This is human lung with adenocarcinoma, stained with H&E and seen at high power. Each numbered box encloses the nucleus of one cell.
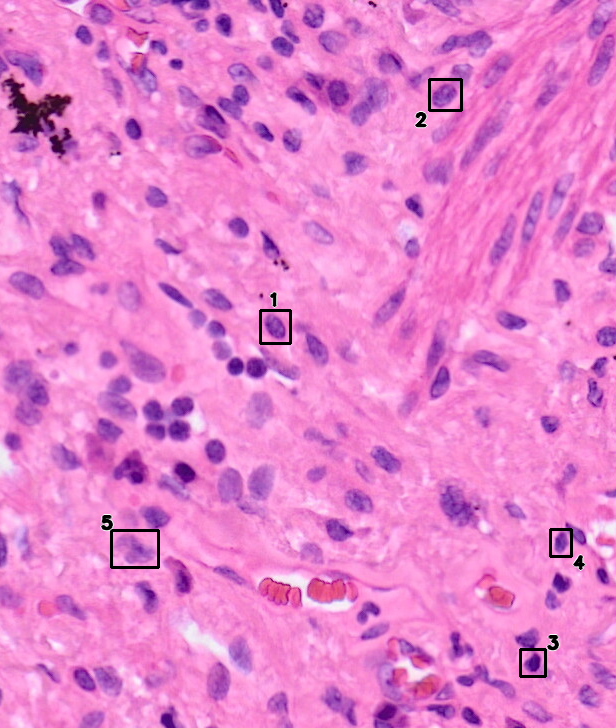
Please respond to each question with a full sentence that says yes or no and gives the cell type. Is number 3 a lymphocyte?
Yes, the cell carrying number 3 is a lymphocyte.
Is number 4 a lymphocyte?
Yes, with respect to number 4, the cell is a lymphocyte.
